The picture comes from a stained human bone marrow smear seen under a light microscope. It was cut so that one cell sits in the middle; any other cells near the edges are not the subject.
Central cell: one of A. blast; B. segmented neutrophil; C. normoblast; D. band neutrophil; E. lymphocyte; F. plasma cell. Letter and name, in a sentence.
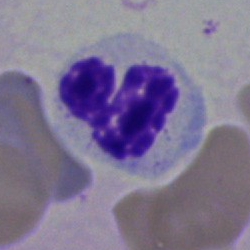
Seen at the centre of the crop is a segmented neutrophil, so option B is correct.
